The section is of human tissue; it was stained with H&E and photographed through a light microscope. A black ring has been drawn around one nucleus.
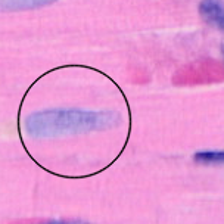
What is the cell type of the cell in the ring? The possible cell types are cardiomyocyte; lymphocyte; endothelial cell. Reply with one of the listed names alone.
cardiomyocyte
